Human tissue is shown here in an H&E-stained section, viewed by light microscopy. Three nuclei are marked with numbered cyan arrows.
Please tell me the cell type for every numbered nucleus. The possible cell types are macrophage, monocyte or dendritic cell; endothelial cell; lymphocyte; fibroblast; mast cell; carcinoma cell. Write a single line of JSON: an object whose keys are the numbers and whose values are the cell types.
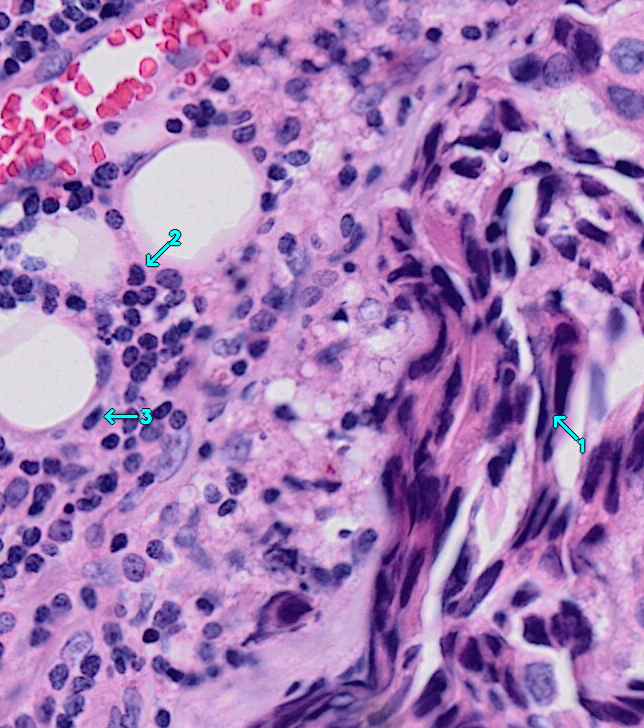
{"1": "carcinoma cell", "2": "lymphocyte", "3": "lymphocyte"}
